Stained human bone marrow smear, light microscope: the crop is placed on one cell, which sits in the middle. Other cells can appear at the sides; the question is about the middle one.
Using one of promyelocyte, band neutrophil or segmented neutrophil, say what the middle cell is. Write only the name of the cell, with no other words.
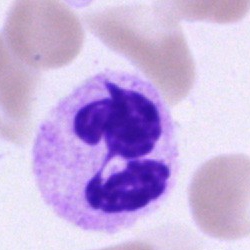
segmented neutrophil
